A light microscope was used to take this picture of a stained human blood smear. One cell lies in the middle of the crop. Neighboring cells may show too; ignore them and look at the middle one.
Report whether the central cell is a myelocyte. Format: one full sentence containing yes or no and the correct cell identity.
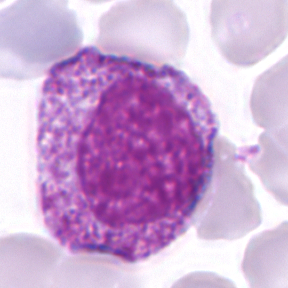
Yes, the centre of the crop holds a myelocyte.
